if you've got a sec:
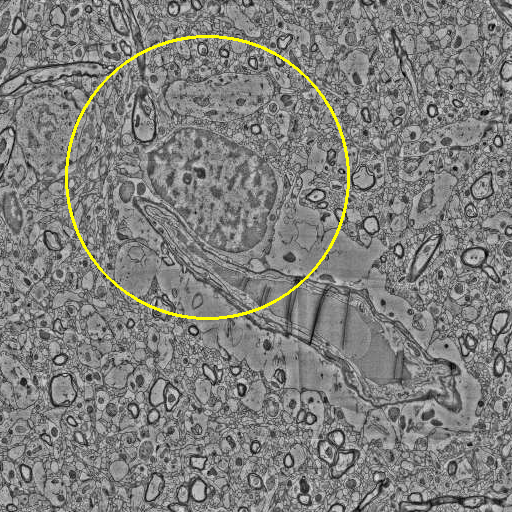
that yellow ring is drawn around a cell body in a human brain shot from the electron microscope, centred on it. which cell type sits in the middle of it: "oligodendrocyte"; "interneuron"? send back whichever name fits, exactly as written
oligodendrocyte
